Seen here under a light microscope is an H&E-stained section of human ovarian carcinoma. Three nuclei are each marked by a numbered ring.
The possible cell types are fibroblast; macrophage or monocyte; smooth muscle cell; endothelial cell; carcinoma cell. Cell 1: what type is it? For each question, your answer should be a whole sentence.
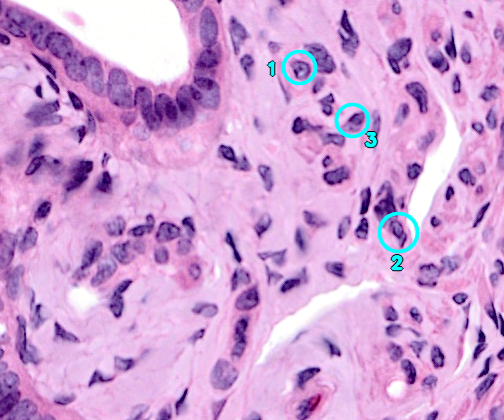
Marked with the number 1, this cell is an endothelial cell.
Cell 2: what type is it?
Among the marked nuclei, number 2 belongs to an endothelial cell.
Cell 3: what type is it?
In this section, the cell numbered 3 is a smooth muscle cell.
